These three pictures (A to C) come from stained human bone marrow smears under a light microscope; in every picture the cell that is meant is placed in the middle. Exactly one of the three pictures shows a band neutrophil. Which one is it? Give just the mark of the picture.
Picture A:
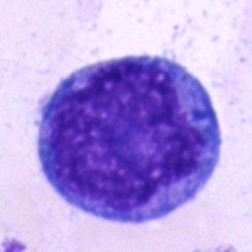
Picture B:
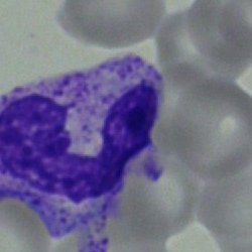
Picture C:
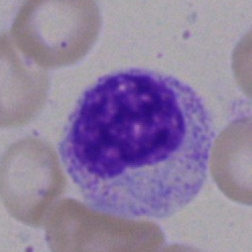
B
